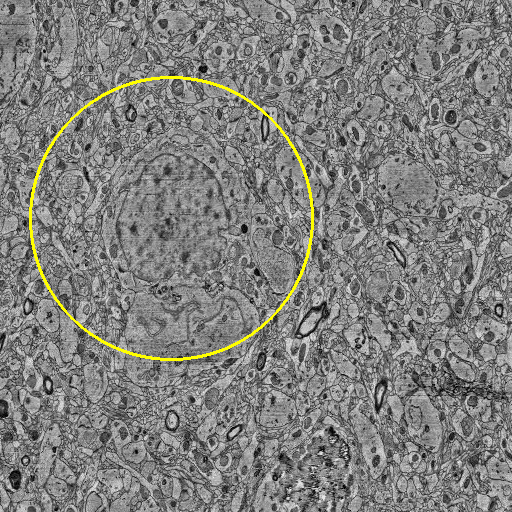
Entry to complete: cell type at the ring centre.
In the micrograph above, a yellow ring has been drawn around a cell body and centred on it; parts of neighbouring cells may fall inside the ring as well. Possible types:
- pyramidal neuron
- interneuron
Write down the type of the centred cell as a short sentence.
The ring is centred on an interneuron.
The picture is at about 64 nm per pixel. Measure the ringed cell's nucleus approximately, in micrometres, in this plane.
In this plane the nucleus spans approximately 9 by 7 micrometers.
